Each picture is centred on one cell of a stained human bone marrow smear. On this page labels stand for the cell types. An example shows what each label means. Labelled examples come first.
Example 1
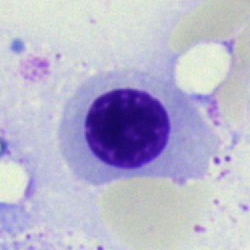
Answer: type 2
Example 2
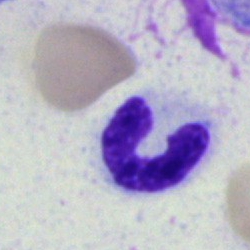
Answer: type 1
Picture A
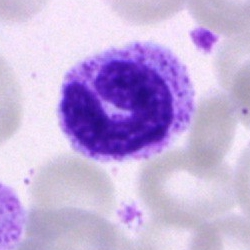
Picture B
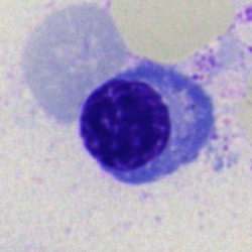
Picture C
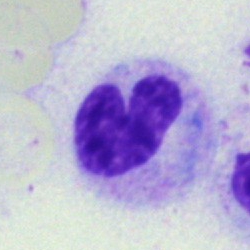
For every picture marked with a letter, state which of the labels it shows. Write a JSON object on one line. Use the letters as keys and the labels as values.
{"A": "type 1", "B": "type 2", "C": "type 1"}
